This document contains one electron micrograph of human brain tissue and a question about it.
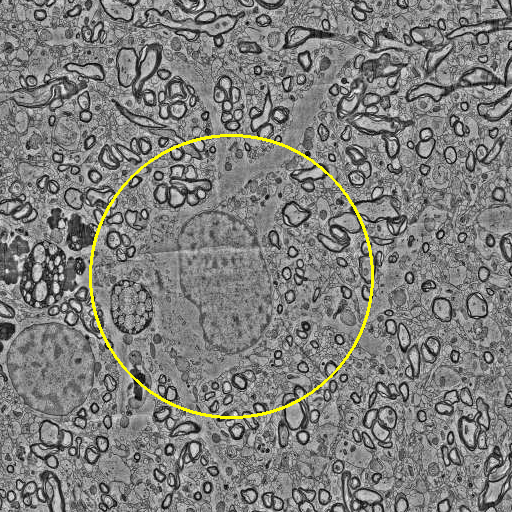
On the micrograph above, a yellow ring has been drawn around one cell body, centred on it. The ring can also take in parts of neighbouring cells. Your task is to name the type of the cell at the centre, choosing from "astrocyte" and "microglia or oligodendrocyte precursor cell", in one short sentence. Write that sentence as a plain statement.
Here the ring is centred on an astrocyte.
